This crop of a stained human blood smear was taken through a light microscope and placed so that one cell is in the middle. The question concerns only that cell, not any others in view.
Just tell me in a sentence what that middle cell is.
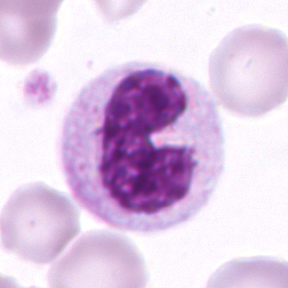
The cell at the middle of the frame should be recorded as a band neutrophil.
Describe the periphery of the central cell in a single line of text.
Worth noting that the cell border is smooth and lacks projections.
